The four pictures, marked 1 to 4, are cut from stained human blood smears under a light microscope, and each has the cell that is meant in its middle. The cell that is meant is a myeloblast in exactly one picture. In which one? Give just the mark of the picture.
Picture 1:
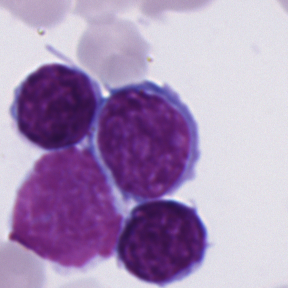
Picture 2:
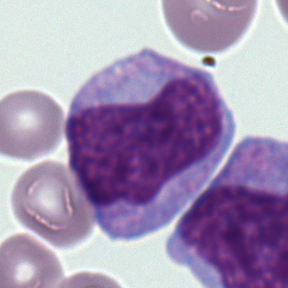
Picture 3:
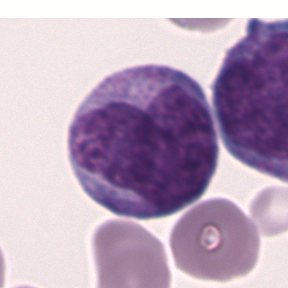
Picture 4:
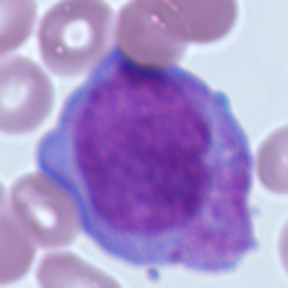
1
